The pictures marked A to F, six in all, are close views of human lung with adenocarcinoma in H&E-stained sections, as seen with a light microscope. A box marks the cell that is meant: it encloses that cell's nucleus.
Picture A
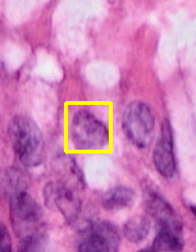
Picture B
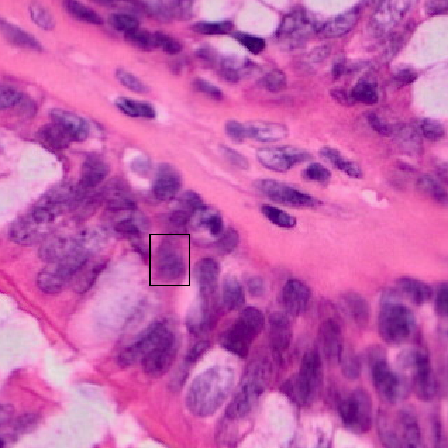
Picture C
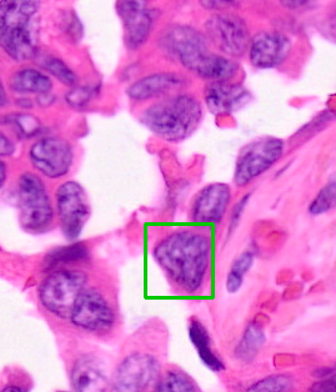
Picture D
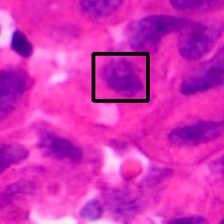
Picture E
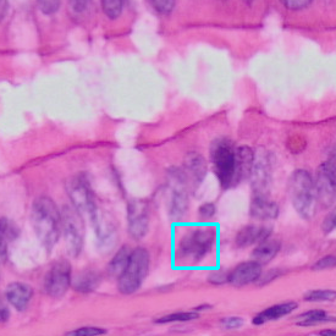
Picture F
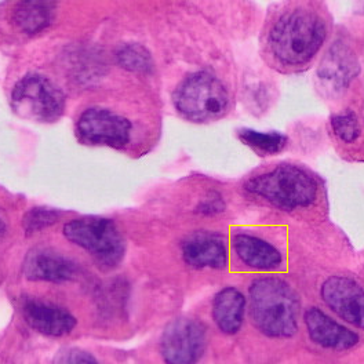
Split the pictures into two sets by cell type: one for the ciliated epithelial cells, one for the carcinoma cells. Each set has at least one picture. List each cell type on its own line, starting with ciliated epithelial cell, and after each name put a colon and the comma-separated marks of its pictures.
ciliated epithelial cell: A, B, E
carcinoma cell: C, D, F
